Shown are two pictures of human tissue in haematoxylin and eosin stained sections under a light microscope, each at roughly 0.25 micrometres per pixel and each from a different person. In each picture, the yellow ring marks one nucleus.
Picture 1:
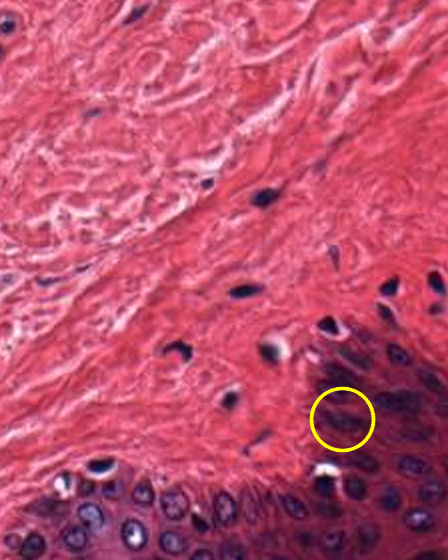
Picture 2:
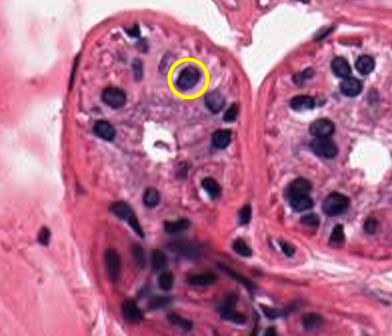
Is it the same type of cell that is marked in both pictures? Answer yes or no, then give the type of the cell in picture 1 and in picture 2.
No, the first is a keratinocyte and the second a sweat gland cell.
